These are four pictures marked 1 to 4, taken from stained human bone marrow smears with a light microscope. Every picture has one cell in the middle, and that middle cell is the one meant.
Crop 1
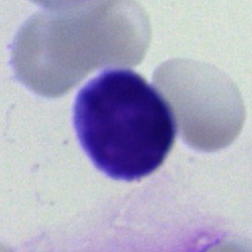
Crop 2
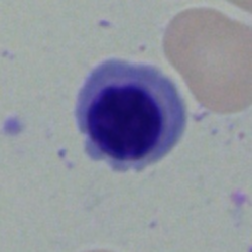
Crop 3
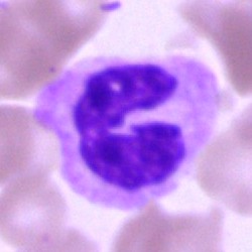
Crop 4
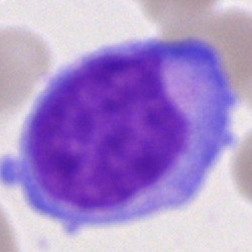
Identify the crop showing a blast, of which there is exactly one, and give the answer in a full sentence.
So the crop with a blast at its center is crop 4.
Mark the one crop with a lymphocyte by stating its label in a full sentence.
In this set, crop 1 is the one showing a lymphocyte.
